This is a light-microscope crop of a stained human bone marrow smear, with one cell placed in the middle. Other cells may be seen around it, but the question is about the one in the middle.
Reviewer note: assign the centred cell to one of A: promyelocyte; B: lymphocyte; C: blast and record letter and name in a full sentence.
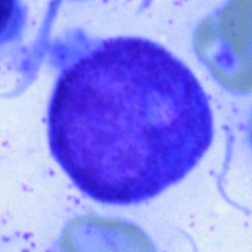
The expected answer is option A, the central cell being a promyelocyte.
